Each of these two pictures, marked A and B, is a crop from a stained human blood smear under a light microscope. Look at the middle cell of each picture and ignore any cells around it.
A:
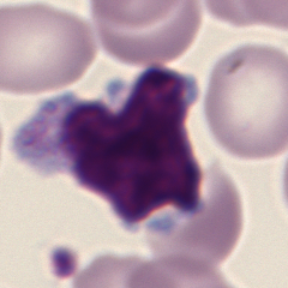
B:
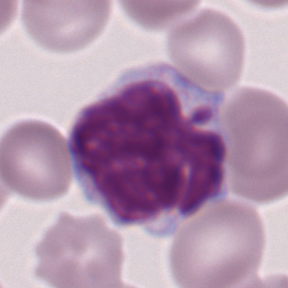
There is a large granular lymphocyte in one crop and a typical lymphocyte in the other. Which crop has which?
A: typical lymphocyte
B: large granular lymphocyte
